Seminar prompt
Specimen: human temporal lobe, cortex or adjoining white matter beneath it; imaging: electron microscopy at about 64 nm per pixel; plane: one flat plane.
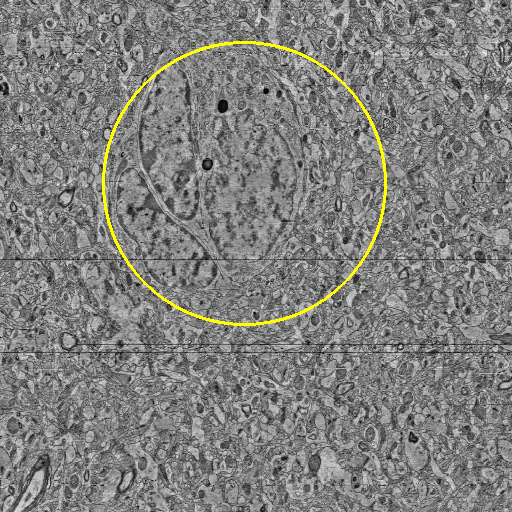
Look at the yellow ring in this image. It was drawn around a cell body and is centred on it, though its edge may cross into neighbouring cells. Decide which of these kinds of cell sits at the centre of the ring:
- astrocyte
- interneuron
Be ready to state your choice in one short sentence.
The kind of cell at the ring's centre is an interneuron.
